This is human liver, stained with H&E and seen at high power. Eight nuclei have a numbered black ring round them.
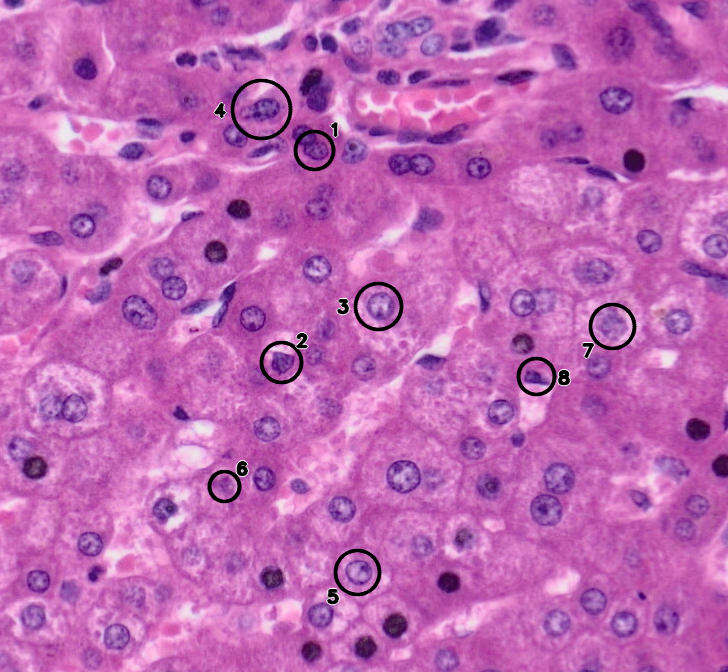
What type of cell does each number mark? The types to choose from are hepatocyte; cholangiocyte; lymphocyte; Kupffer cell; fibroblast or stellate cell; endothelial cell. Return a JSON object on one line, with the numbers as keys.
{"1": "cholangiocyte", "2": "endothelial cell", "3": "hepatocyte", "4": "cholangiocyte", "5": "hepatocyte", "6": "hepatocyte", "7": "hepatocyte", "8": "endothelial cell"}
